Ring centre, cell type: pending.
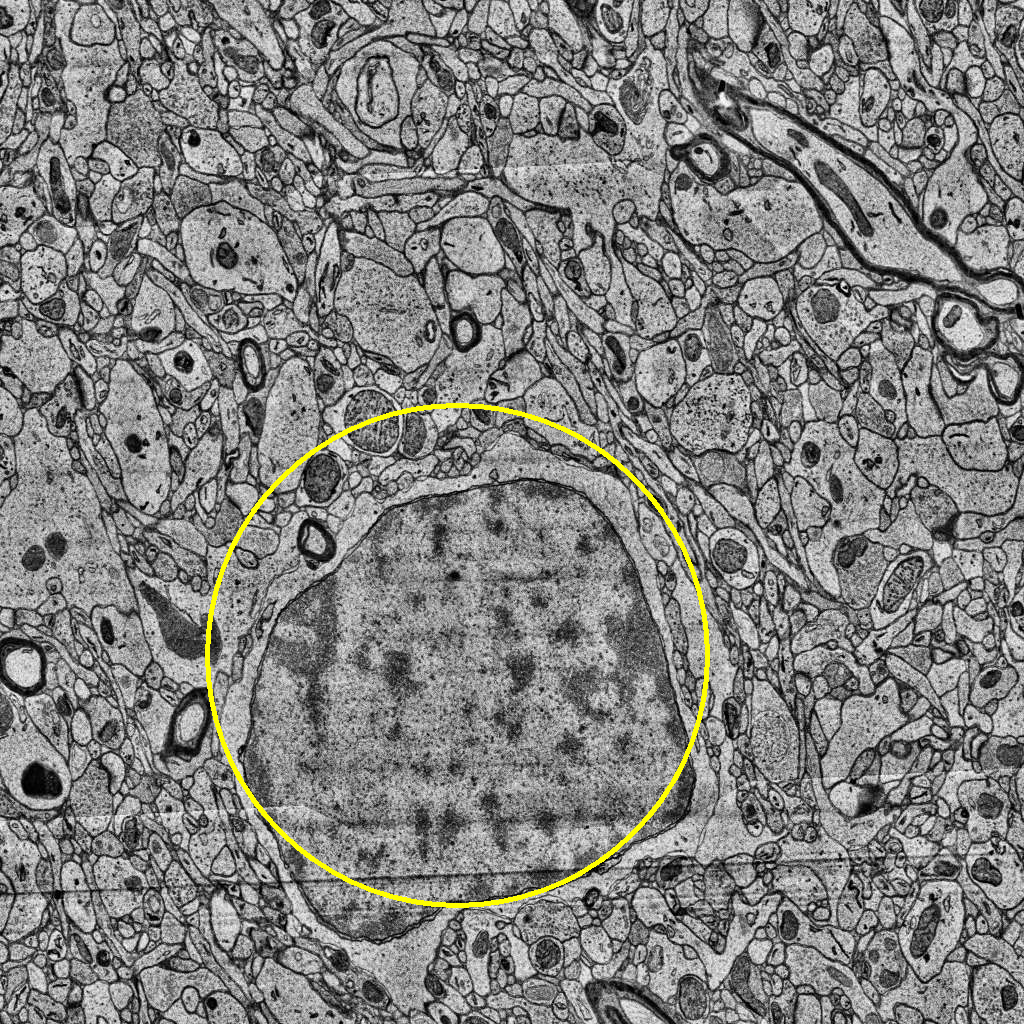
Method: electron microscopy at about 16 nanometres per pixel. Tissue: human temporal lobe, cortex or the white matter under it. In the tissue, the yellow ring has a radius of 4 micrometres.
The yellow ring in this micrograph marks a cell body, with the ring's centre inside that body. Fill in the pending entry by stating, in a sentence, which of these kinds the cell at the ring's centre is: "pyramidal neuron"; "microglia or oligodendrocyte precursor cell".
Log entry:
The cell at the ring's centre is recorded as a microglial cell or oligodendrocyte precursor cell.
